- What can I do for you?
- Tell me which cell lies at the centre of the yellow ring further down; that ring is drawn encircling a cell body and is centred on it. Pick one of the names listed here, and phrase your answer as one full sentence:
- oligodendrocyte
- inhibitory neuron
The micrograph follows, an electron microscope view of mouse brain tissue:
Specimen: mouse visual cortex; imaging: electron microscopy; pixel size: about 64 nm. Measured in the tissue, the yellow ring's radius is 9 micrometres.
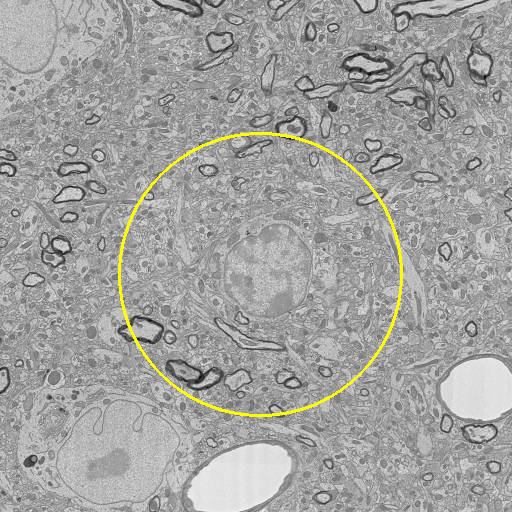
The cell whose body lies at the centre of the yellow ring is an oligodendrocyte.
